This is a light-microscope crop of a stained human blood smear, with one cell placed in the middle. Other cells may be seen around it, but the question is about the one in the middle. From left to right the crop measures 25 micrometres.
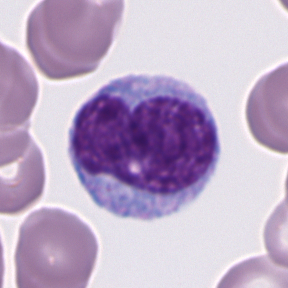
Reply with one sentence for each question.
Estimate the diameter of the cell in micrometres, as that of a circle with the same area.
About 13 micrometres: that is the cell's diameter.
